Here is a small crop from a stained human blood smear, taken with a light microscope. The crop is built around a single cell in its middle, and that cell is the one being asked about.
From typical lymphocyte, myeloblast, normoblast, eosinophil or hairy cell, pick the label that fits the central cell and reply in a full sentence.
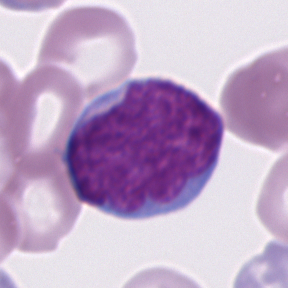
For this crop, the central cell is a myeloblast.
